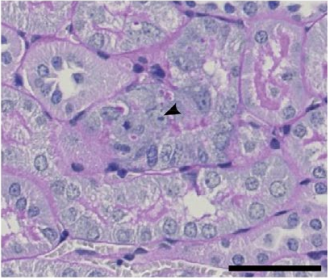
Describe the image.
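This shows kidney cortex with proximal tubules cut in cross-section, their cuboidal epithelial cells having round nuclei and pale pink cytoplasm set on thin magenta basement membranes. One tubule in the centre is crowded with cells bearing larger, darker nuclei and lacks the magenta luminal brush border seen in other tubules. Its lumen is nearly obliterated, unlike the open lumina of the tubules around it.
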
